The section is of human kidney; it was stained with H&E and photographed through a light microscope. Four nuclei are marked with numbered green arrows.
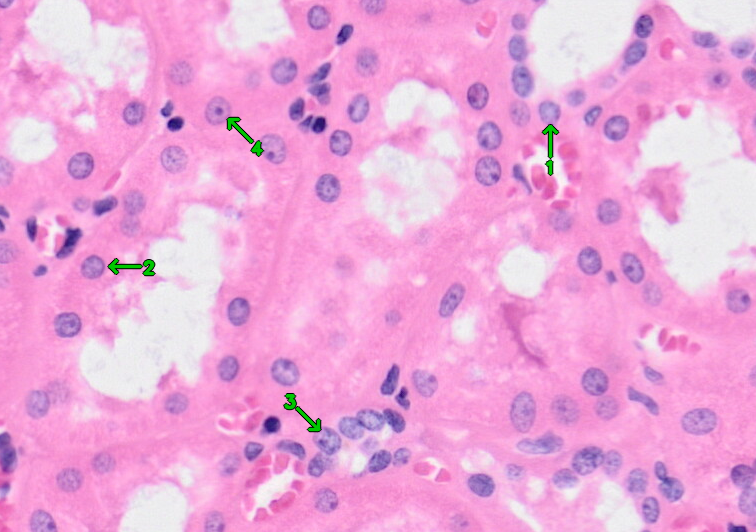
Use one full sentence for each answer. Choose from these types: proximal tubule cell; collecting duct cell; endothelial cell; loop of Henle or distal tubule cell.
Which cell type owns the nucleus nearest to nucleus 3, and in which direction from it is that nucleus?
The nearest one is a collecting duct cell, found below nucleus 3.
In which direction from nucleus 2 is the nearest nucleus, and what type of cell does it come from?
The nearest nucleus is that of an endothelial cell and lies above and to the left of nucleus 2.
